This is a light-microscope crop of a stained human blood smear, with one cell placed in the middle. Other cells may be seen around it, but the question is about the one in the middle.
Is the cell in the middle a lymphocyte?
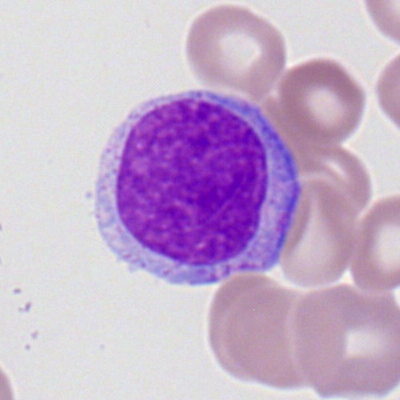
no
